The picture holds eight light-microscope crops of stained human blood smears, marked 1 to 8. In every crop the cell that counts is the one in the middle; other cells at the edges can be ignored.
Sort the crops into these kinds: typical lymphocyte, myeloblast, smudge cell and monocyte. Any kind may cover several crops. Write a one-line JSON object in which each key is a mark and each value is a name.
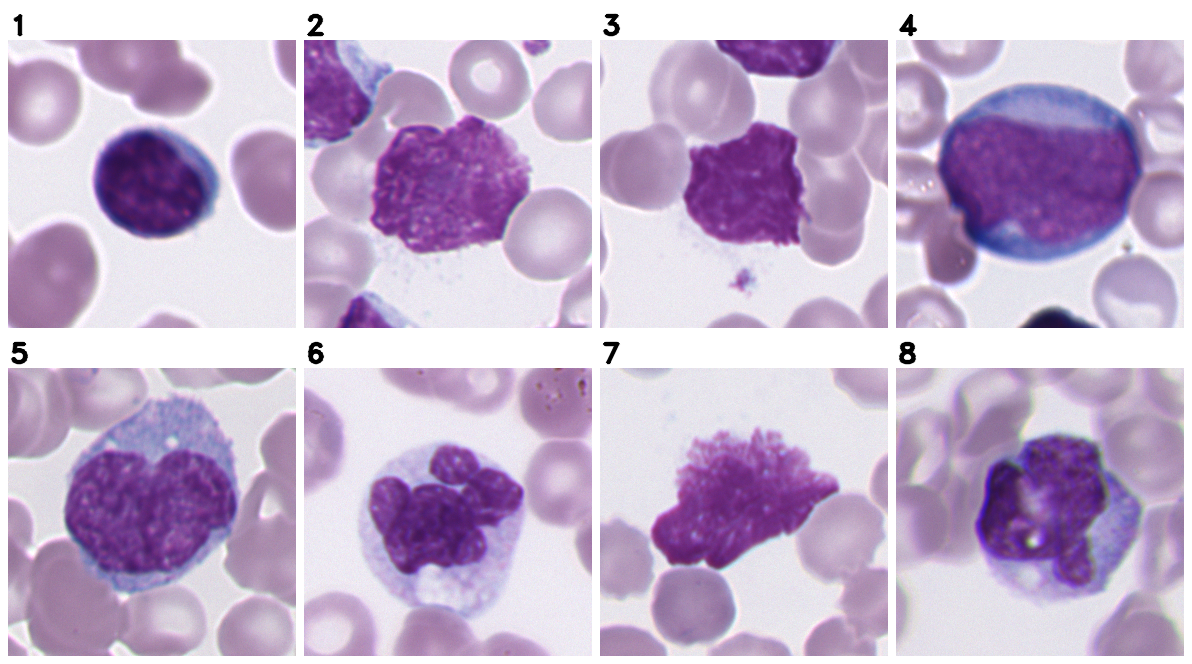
{"1": "typical lymphocyte", "2": "smudge cell", "3": "smudge cell", "4": "myeloblast", "5": "monocyte", "6": "monocyte", "7": "smudge cell", "8": "monocyte"}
